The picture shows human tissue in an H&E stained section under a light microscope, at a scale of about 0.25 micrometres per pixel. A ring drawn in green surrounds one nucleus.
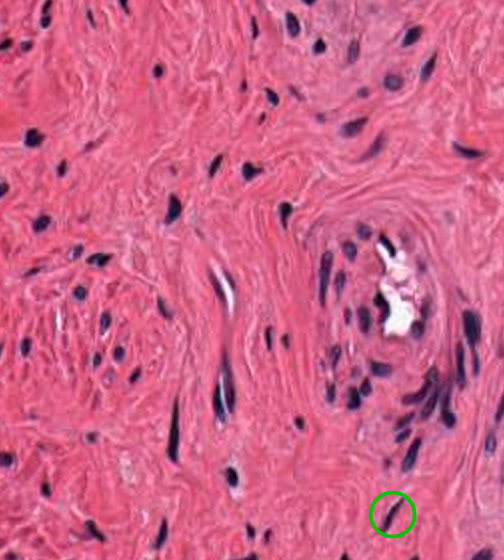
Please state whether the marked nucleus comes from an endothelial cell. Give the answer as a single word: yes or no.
no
